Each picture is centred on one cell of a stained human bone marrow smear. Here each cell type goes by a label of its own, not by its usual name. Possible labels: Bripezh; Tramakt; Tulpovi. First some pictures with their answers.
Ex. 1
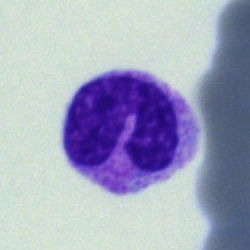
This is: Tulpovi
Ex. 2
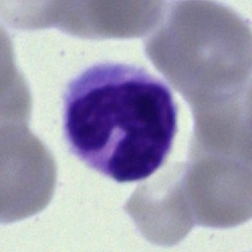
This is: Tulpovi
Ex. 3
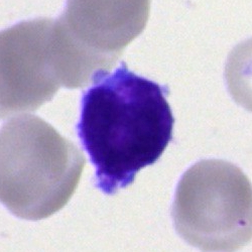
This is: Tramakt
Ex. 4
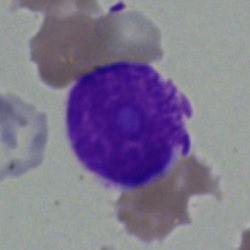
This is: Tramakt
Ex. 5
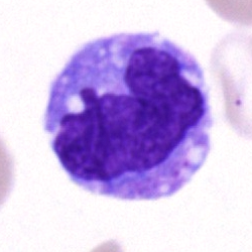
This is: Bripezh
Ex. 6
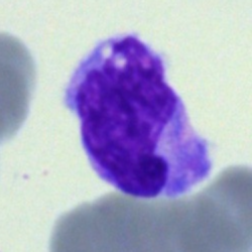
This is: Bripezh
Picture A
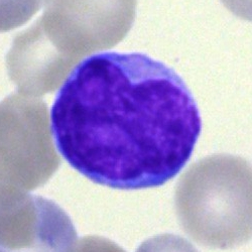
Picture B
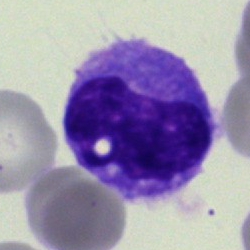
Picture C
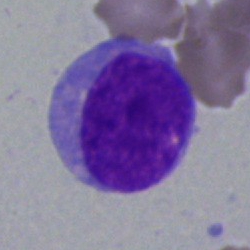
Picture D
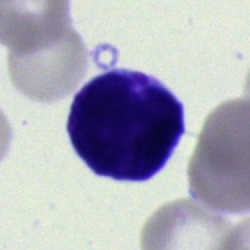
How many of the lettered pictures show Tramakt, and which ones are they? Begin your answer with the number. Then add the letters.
Count: 3 (A, C, D)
